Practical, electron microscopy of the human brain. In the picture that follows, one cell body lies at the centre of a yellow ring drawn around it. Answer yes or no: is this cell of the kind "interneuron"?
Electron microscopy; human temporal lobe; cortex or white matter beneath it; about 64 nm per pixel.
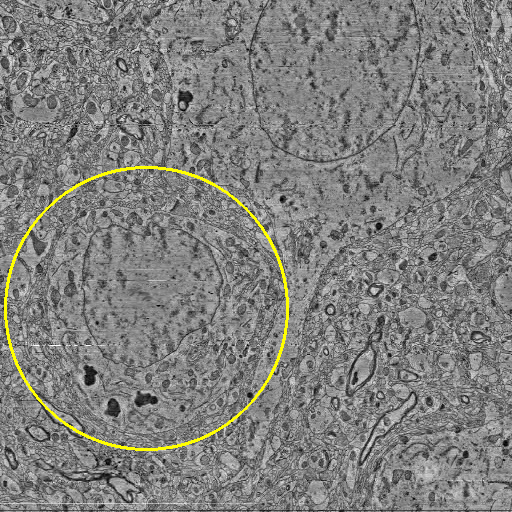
yes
